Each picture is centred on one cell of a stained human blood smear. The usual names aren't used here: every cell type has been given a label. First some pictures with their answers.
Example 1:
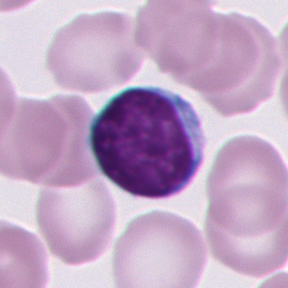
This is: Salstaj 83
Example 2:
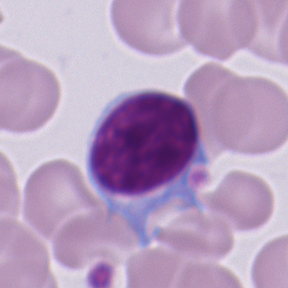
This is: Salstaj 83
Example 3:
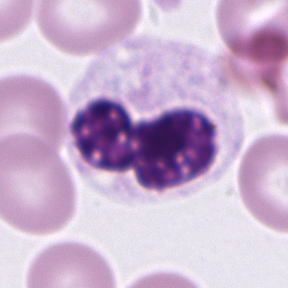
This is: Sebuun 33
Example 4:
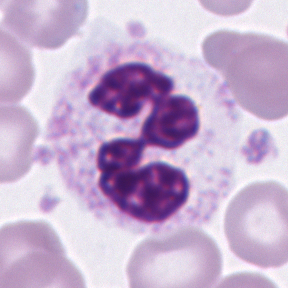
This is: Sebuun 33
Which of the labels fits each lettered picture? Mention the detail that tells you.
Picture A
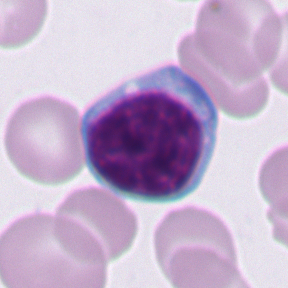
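Salstaj 83: The nucleus fills most of the cell.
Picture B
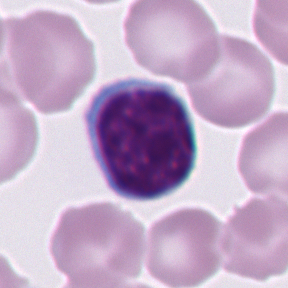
Salstaj 83: The cytoplasm forms only a thin rim around the nucleus.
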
